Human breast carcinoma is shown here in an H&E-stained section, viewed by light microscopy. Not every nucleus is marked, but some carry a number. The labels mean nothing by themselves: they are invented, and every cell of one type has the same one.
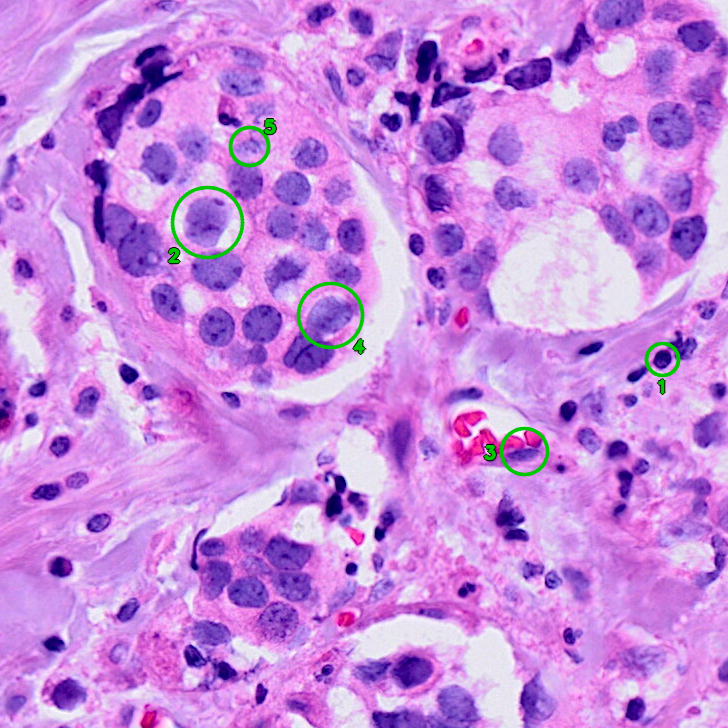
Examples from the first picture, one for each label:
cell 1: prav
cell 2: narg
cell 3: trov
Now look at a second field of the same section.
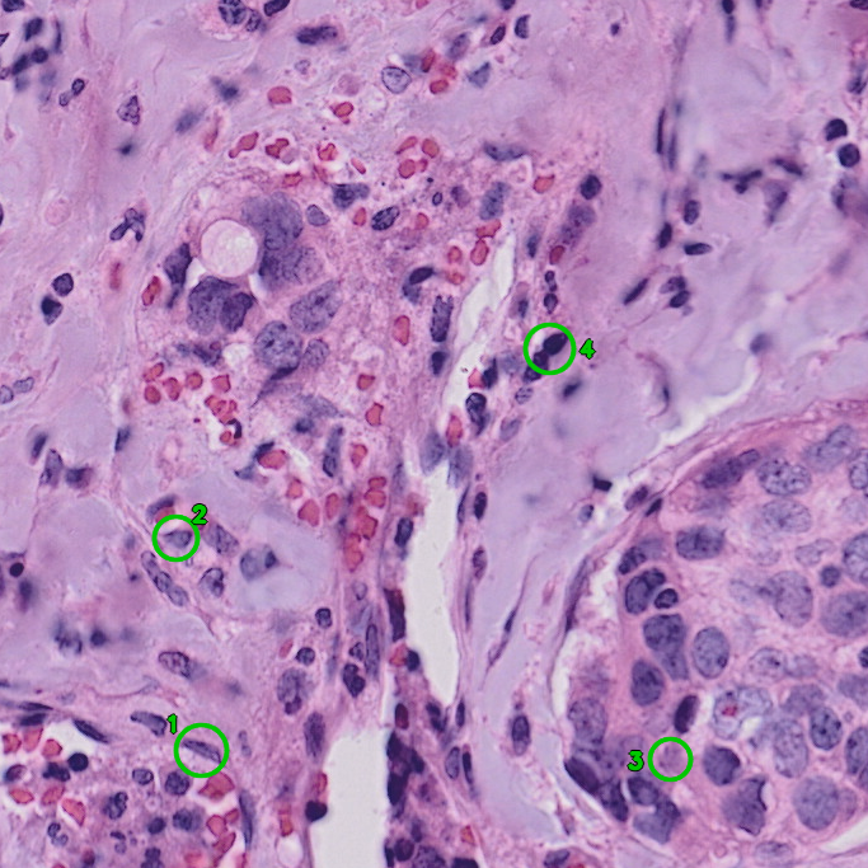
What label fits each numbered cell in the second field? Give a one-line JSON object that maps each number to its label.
{"1": "trov", "2": "trov", "3": "narg", "4": "prav"}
